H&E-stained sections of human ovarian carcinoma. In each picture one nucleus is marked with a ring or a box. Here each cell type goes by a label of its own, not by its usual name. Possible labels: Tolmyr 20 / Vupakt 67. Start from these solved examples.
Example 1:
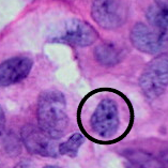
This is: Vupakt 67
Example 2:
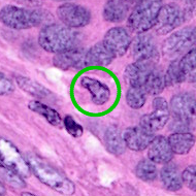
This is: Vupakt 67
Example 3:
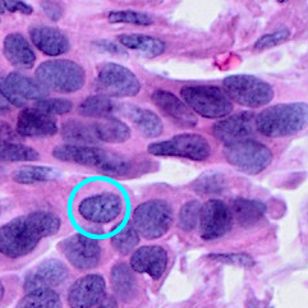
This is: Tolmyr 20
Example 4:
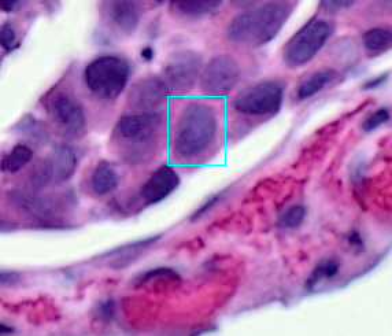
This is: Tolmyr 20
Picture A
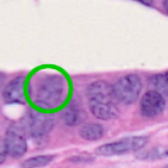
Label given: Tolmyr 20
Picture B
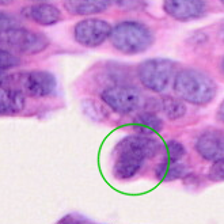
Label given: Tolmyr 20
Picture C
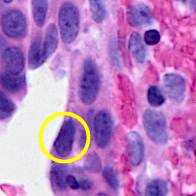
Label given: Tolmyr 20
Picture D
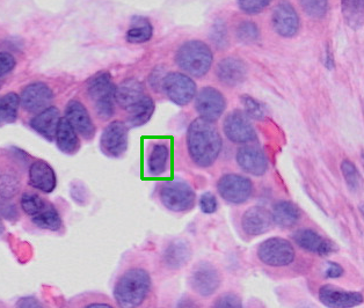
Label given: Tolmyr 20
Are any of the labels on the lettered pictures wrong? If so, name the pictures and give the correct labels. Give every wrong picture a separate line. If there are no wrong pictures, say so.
D: not Tolmyr 20 but Vupakt 67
